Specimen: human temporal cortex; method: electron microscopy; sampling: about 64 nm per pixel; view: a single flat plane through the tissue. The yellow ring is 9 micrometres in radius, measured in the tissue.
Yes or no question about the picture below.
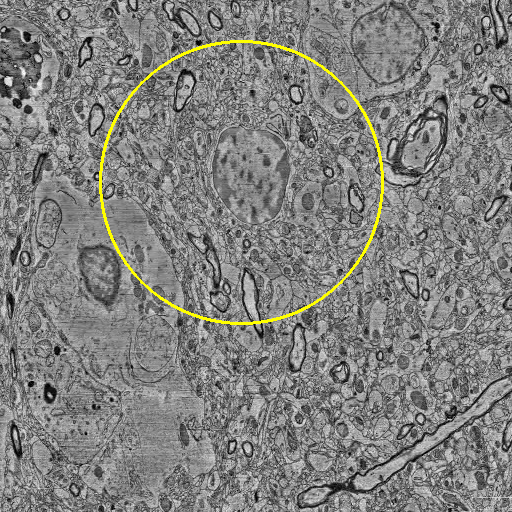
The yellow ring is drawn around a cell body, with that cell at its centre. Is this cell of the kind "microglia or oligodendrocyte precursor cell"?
yes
